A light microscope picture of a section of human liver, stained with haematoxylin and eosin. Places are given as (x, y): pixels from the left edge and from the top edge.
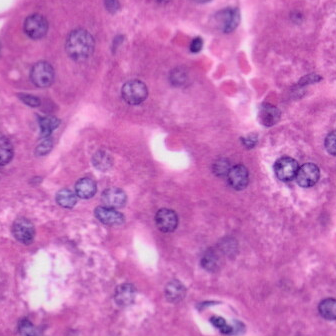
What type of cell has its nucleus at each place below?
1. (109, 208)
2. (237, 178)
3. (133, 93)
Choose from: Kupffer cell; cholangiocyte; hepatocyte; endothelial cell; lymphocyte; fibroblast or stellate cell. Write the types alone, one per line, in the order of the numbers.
cholangiocyte
hepatocyte
hepatocyte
